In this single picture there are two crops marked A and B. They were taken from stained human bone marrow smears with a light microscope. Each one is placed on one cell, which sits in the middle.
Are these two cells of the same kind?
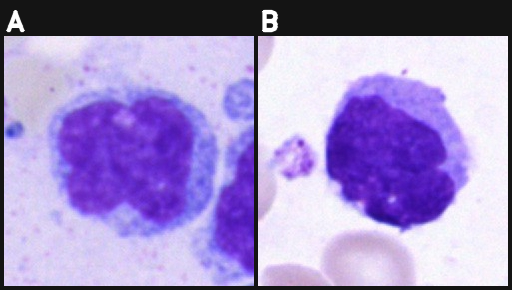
yes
